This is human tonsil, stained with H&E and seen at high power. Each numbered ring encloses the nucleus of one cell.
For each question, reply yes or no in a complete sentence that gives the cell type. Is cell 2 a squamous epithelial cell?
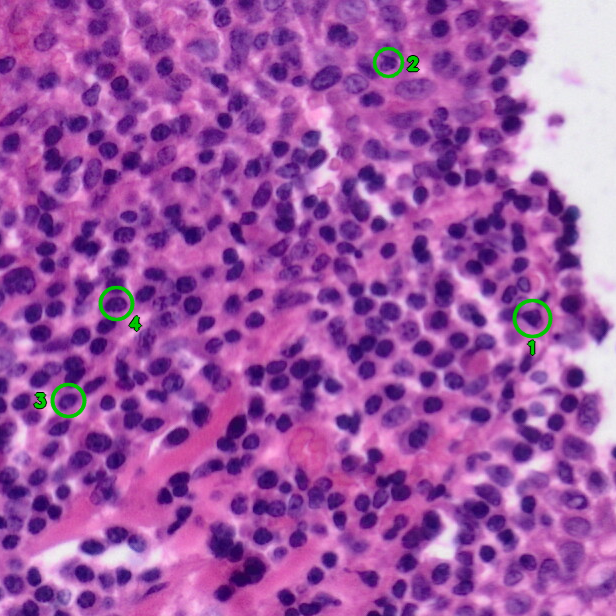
Yes, the numbered nucleus 2 is that of a squamous epithelial cell.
